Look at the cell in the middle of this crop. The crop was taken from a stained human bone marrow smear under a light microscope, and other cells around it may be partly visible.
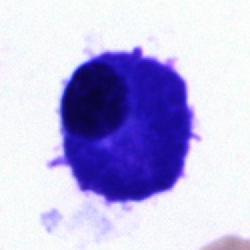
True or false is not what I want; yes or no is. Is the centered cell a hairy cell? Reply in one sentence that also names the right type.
No, the central cell is identified not as a hairy cell but as a plasma cell.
